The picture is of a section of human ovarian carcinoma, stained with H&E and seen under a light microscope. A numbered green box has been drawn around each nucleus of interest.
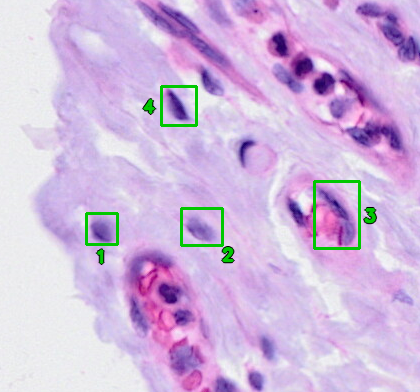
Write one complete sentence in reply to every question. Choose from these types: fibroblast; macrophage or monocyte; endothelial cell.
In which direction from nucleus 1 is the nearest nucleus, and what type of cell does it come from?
An endothelial cell lies closest, below and to the right of nucleus 1.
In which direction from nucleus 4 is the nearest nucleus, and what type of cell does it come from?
Just above and to the right of nucleus 4 lies the nearest nucleus, which belongs to a fibroblast.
